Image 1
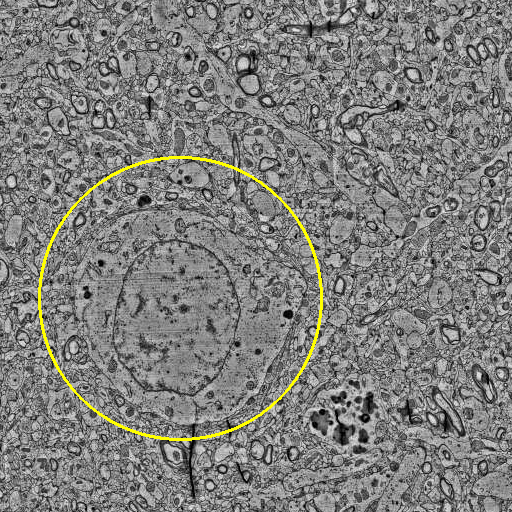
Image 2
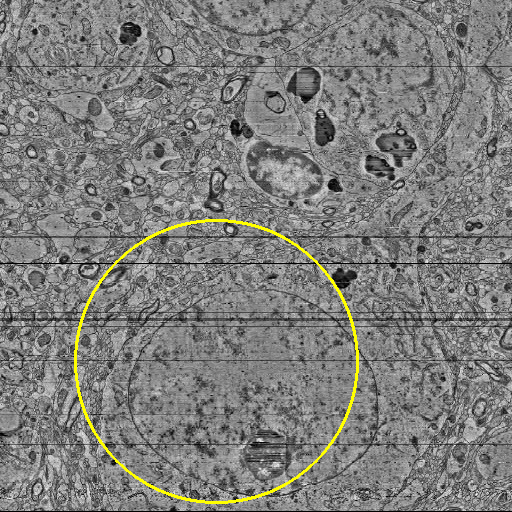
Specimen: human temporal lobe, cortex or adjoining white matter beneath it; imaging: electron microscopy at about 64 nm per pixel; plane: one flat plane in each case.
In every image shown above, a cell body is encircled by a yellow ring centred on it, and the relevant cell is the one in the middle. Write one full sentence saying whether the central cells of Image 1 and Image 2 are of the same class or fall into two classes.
The cell at the ring's centre in Image 1 and its counterpart in Image 2 are of the same class.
